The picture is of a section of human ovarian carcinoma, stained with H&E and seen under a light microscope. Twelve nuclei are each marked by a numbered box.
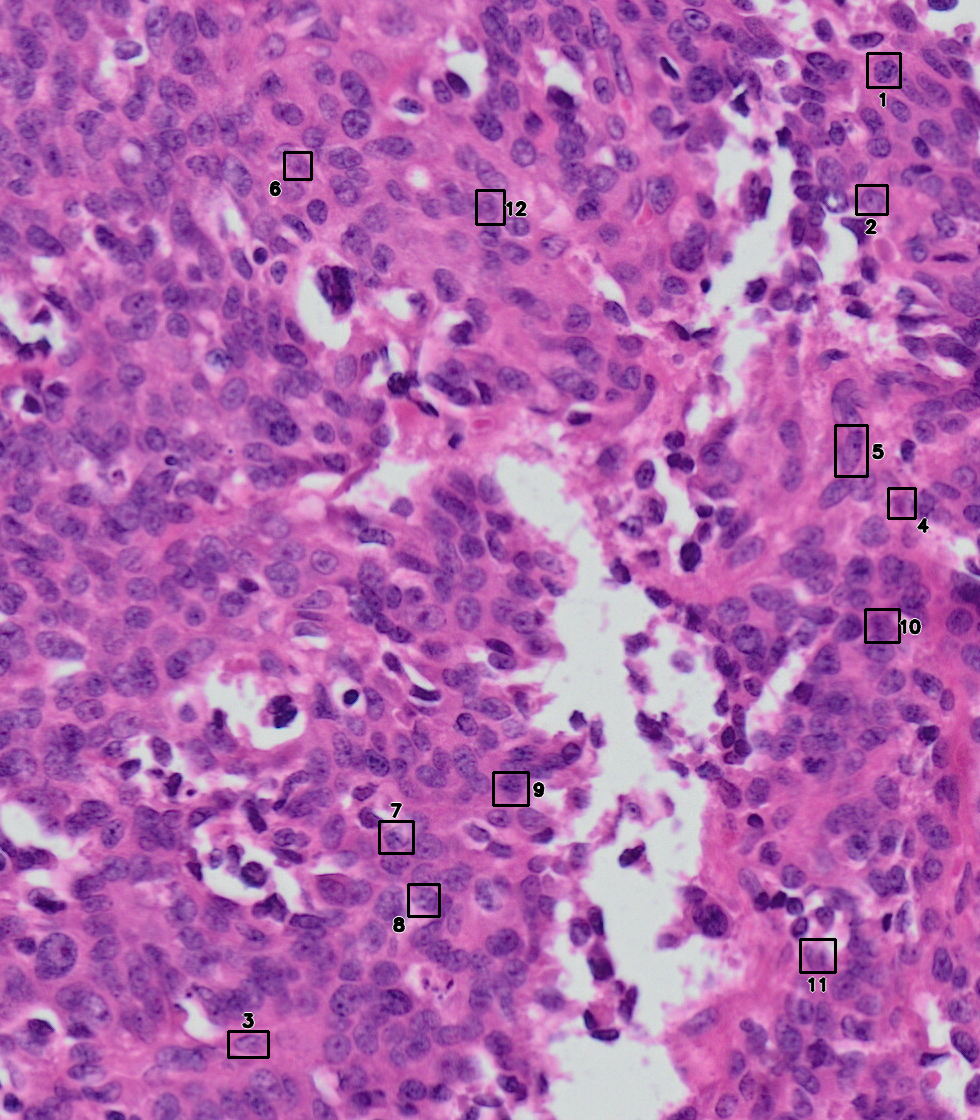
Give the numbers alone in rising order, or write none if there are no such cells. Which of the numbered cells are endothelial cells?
3, 5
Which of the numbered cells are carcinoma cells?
2, 4, 6, 9, 10, 11, 12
